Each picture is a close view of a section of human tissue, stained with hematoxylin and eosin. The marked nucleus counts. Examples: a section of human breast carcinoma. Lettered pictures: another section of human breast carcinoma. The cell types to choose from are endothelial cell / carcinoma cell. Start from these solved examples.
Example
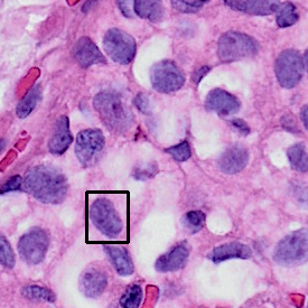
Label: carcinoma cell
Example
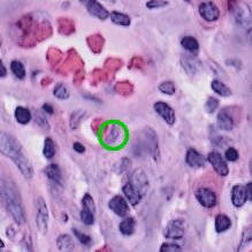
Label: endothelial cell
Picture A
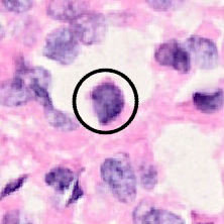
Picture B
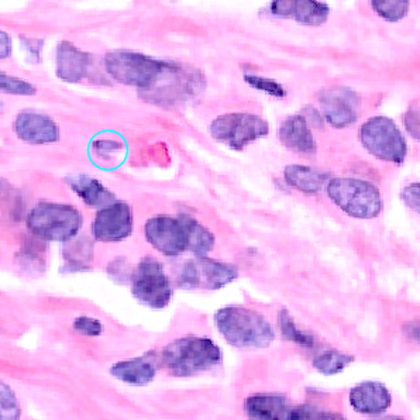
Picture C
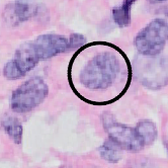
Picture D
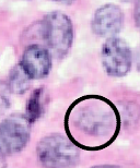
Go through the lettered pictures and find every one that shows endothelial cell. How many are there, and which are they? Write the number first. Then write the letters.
Count: 1 (B)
